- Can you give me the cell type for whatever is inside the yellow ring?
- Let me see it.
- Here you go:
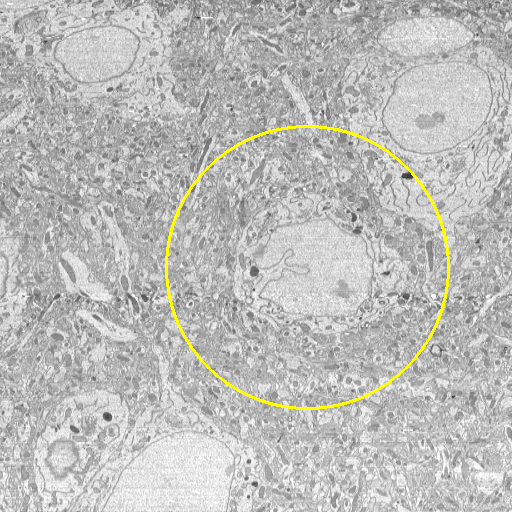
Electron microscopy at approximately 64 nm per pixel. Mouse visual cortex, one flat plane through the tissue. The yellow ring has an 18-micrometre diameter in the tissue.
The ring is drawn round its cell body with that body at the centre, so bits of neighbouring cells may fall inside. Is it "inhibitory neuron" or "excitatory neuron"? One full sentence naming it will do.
The cell body in the middle of the ring in this picture belongs to an inhibitory neuron.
